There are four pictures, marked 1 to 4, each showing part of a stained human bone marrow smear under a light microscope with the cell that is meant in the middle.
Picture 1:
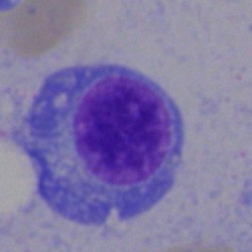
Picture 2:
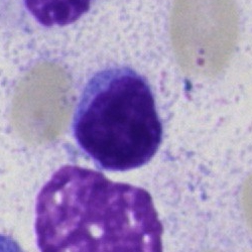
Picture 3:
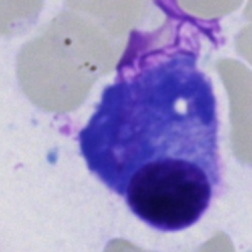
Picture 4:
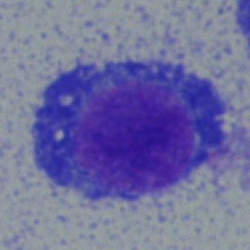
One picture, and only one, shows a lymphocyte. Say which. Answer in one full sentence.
The cell in picture 2 is the lymphocyte.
